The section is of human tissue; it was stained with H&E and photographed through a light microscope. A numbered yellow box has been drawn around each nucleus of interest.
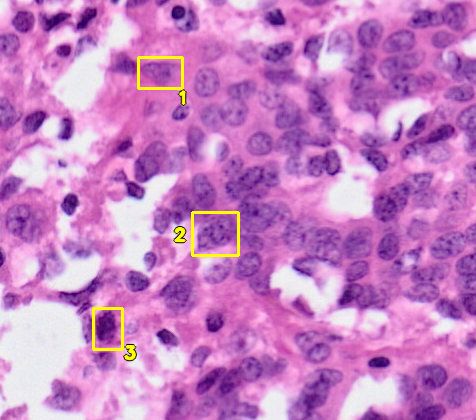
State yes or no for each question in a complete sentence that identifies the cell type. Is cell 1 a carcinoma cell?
No, the cell indicated by 1 is an endothelial cell instead of a carcinoma cell.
